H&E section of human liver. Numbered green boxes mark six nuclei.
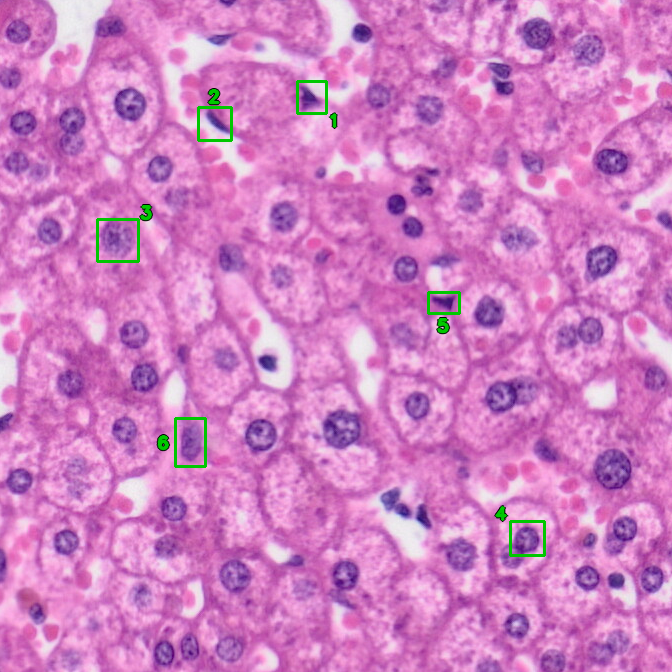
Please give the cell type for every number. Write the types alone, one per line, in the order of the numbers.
fibroblast or stellate cell
endothelial cell
hepatocyte
hepatocyte
fibroblast or stellate cell
Kupffer cell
